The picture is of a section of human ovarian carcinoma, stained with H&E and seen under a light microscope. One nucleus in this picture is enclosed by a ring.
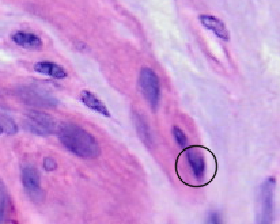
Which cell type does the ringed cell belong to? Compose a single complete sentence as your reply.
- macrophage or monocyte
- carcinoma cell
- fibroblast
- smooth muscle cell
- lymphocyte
Placed in its cell category, the ringed cell is a smooth muscle cell.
